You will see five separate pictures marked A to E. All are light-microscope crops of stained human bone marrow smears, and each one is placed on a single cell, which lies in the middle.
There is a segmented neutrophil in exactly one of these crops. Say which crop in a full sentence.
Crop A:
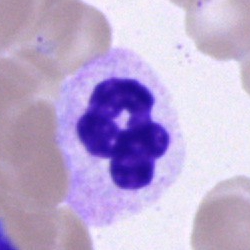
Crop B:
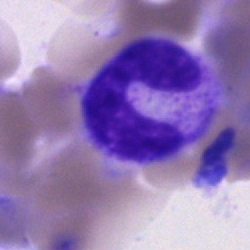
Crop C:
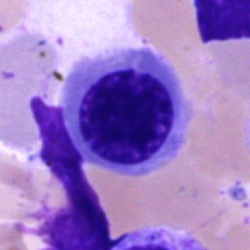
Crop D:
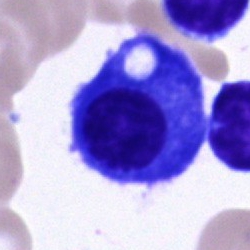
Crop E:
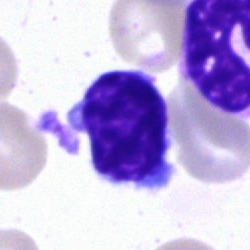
The crop carrying a segmented neutrophil at the center is crop A.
